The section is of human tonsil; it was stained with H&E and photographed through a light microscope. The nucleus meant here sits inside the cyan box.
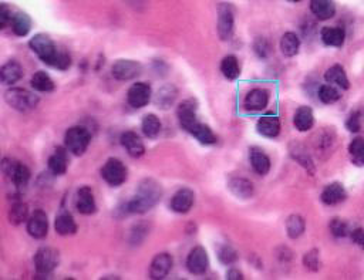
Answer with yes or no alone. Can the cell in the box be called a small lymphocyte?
no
